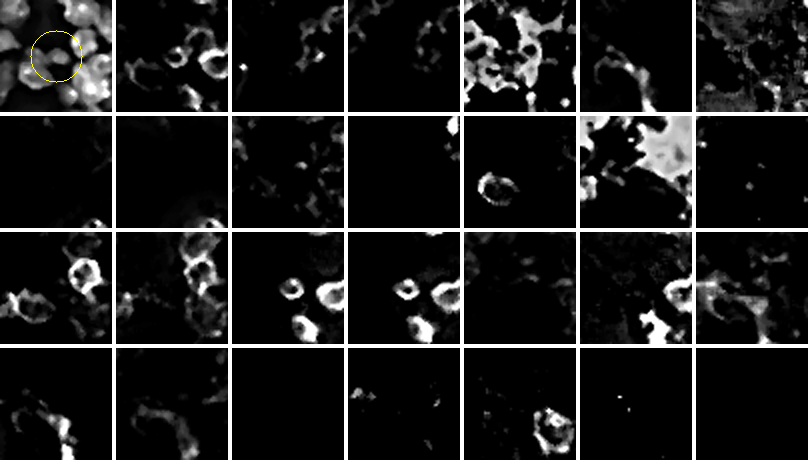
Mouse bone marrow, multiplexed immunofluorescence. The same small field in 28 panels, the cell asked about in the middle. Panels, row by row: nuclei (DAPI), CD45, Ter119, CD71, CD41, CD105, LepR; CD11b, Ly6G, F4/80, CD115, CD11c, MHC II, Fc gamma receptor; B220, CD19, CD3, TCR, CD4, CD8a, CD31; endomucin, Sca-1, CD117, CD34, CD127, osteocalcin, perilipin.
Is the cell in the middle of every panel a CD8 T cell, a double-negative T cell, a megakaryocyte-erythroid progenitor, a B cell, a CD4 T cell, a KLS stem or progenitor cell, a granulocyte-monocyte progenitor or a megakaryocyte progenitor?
It is a double-negative T cell.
